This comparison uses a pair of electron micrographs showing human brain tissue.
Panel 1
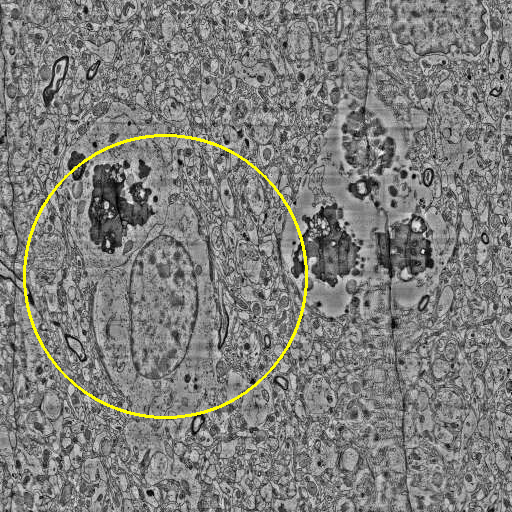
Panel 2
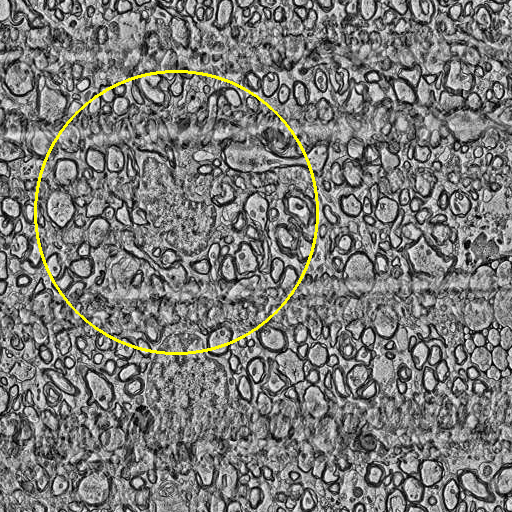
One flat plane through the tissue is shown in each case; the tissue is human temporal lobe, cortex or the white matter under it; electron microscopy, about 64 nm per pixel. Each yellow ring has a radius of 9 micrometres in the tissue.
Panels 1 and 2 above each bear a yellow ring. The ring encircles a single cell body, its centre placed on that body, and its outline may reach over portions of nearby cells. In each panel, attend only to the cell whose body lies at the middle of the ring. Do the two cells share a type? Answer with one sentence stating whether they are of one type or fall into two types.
In Panel 1 and Panel 2, the cells at the centres of the rings fall into two types.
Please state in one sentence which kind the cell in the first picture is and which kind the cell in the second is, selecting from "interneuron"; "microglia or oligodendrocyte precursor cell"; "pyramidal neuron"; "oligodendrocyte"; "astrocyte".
The first ringed cell is an astrocyte, the second ringed cell an oligodendrocyte.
